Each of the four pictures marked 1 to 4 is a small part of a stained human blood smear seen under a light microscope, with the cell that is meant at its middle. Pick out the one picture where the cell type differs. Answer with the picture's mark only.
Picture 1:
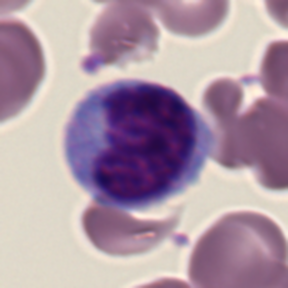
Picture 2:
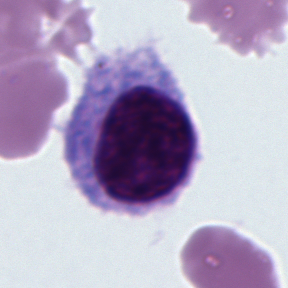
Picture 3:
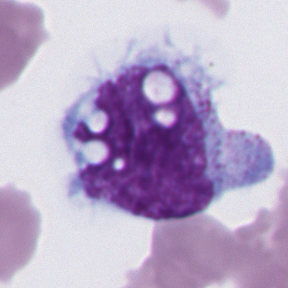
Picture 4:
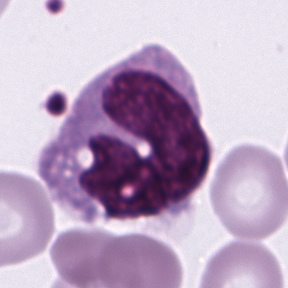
2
